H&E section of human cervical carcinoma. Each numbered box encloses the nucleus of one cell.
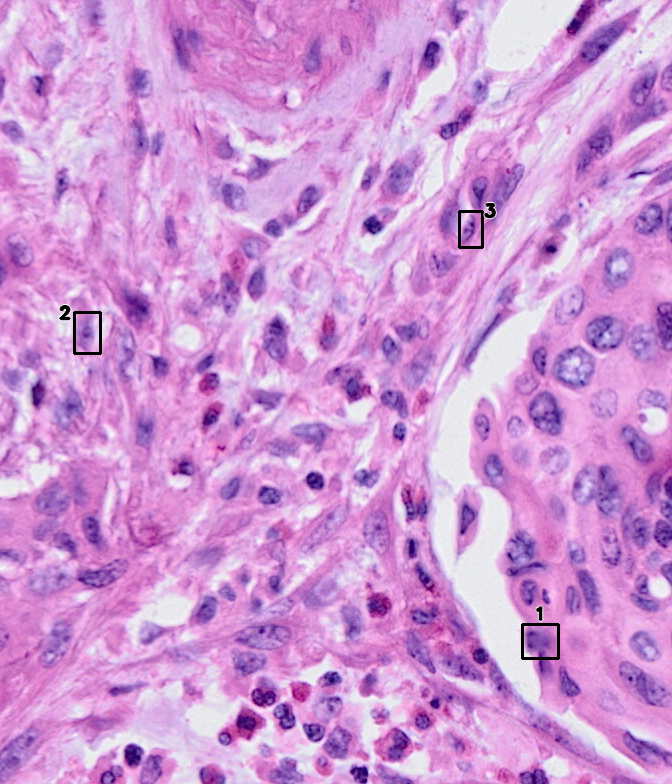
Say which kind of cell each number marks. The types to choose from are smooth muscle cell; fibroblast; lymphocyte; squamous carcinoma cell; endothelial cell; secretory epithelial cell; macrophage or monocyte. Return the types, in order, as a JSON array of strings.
["squamous carcinoma cell", "fibroblast", "endothelial cell"]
